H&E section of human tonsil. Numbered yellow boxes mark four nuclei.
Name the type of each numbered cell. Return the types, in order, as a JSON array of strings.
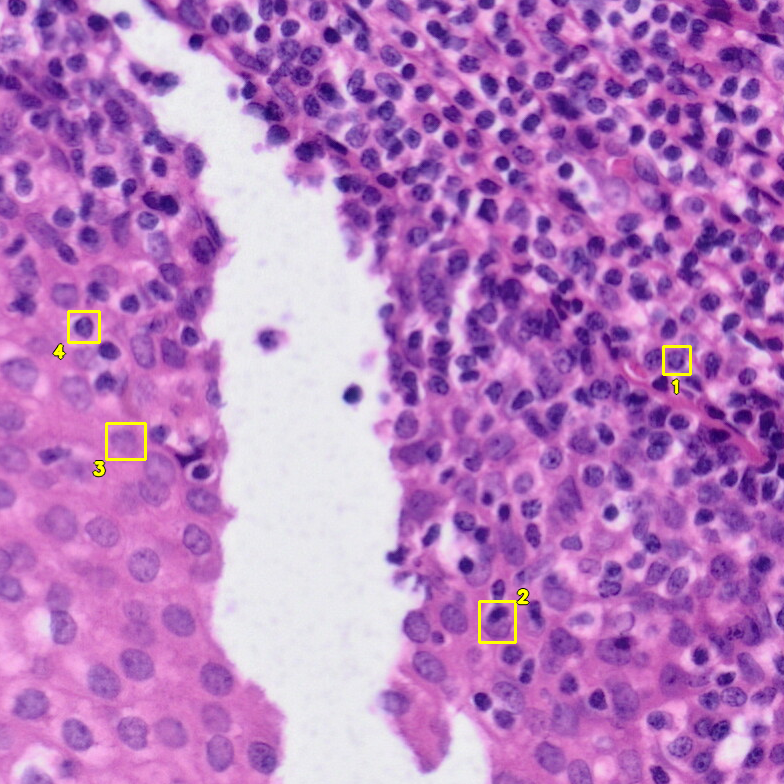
["plasma cell", "squamous epithelial cell", "squamous epithelial cell", "squamous epithelial cell"]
